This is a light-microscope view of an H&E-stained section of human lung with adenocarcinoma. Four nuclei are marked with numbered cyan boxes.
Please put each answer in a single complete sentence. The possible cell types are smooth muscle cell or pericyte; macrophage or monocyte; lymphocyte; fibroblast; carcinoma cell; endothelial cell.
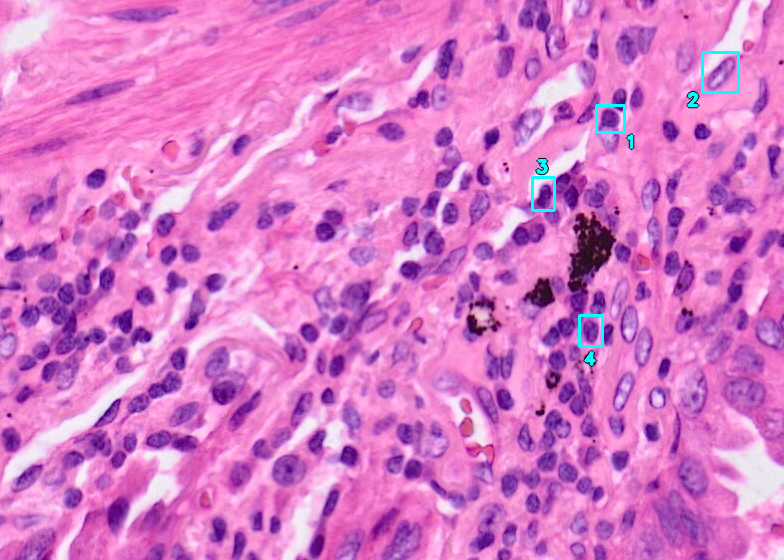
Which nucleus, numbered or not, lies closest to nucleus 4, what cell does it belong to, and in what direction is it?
Just to the right of nucleus 4 lies the nearest nucleus, which belongs to a lymphocyte.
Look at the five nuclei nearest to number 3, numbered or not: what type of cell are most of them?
Most of the five nuclei nearest to number 3 are those of lymphocytes.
